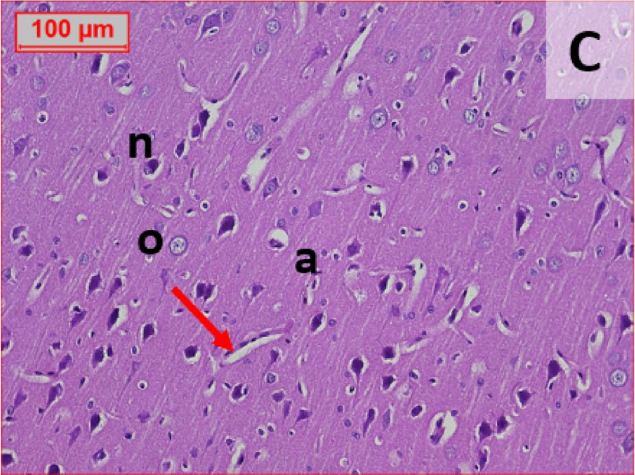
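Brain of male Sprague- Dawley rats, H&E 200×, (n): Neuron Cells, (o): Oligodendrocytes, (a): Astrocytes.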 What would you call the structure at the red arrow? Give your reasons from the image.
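The arrow points to an elongated channel with a clear lumen. Flattened, elongated nuclei line its wall.
Answer: blood vessels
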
